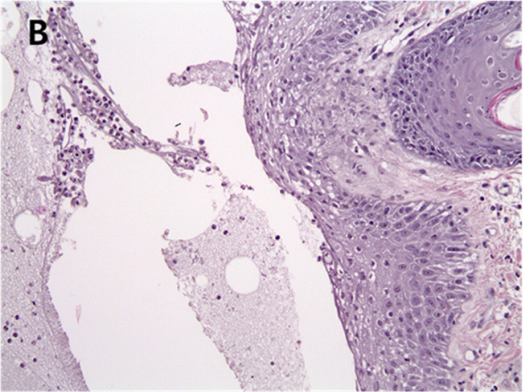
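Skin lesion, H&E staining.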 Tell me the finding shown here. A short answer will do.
Acanthotic epidermis.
